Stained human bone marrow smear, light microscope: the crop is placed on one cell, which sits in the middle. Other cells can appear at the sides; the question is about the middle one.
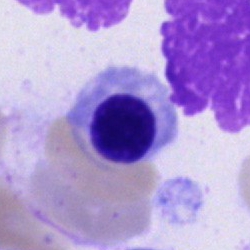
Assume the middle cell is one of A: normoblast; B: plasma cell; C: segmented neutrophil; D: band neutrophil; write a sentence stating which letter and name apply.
The cell in the middle is correctly identified as a normoblast in option A.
